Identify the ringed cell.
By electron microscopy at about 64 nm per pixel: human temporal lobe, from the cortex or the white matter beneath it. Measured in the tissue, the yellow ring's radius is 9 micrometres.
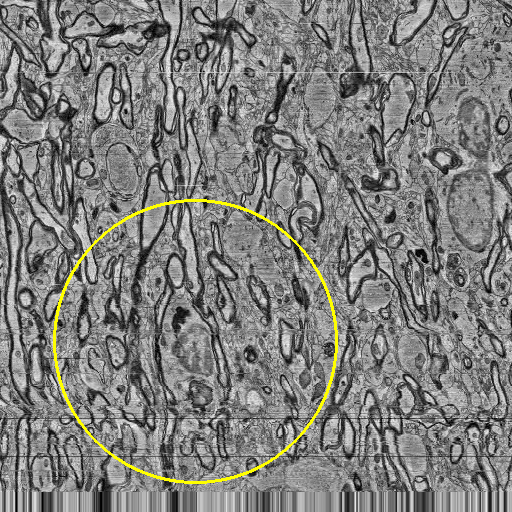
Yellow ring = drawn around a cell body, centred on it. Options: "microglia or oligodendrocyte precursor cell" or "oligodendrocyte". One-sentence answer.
What the ring is centred on is an oligodendrocyte.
